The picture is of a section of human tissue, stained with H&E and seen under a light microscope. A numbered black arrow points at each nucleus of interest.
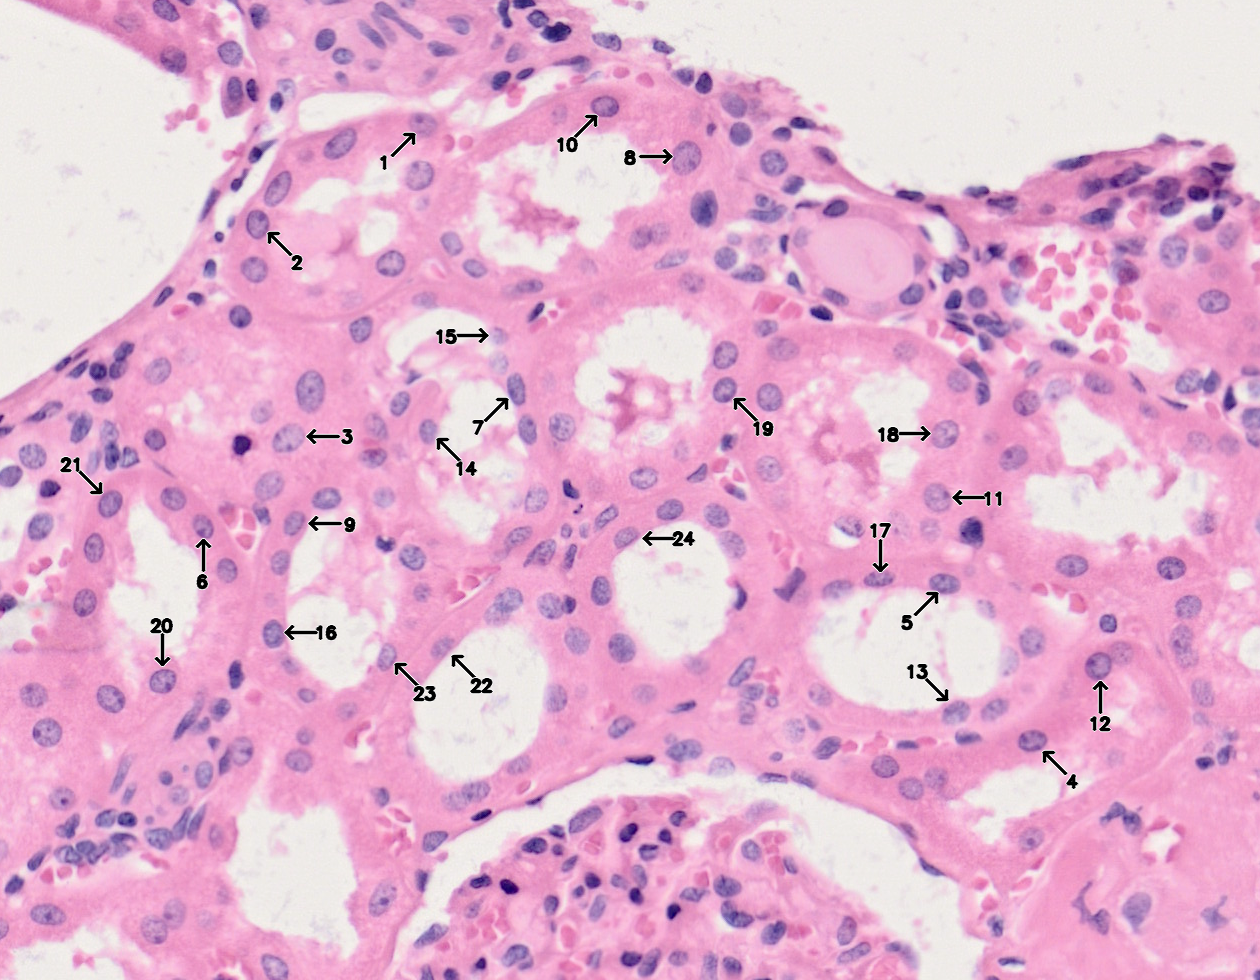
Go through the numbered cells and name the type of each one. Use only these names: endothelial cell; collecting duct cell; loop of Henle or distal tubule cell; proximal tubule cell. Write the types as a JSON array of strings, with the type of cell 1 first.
["proximal tubule cell", "proximal tubule cell", "proximal tubule cell", "proximal tubule cell", "loop of Henle or distal tubule cell", "proximal tubule cell", "loop of Henle or distal tubule cell", "proximal tubule cell", "loop of Henle or distal tubule cell", "proximal tubule cell", "proximal tubule cell", "proximal tubule cell", "loop of Henle or distal tubule cell", "loop of Henle or distal tubule cell", "loop of Henle or distal tubule cell", "loop of Henle or distal tubule cell", "loop of Henle or distal tubule cell", "proximal tubule cell", "proximal tubule cell", "proximal tubule cell", "proximal tubule cell", "loop of Henle or distal tubule cell", "loop of Henle or distal tubule cell", "loop of Henle or distal tubule cell"]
